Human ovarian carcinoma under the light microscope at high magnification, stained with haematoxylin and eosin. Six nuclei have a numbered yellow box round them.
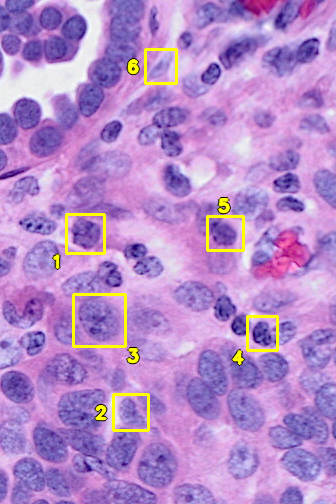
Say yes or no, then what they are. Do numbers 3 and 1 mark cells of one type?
No, unlike cell 1, which is a macrophage or monocyte, cell 3 is a carcinoma cell.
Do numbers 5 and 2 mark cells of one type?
No, the correct reading has cell 5 as a lymphocyte and cell 2 as a carcinoma cell.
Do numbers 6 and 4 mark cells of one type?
No, cell 4 is a lymphocyte, whereas cell 6 is a fibroblast.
